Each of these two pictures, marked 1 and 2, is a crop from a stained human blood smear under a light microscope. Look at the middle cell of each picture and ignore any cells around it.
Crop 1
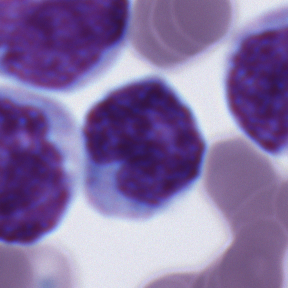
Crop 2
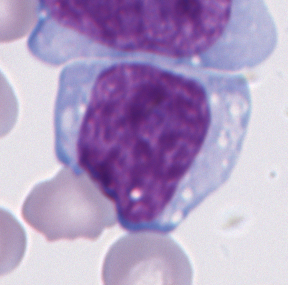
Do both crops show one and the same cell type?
no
